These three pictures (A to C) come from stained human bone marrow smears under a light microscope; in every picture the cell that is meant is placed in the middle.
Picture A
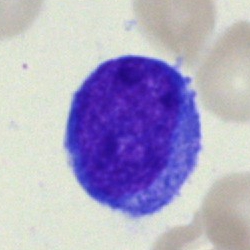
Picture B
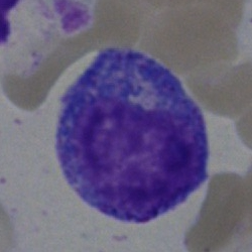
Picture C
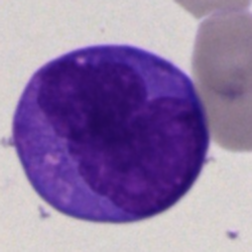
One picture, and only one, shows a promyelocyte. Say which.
B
